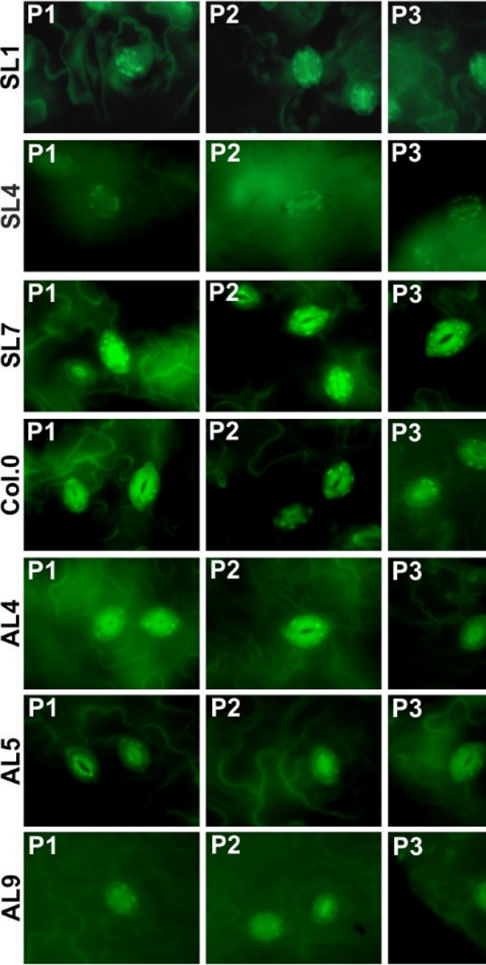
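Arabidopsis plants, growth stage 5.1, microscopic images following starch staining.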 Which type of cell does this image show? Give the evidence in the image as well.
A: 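Paired bean-shaped cells surround a central slit-like pore. These paired cells glow brighter green than the surrounding cells. Faint wavy outlines of neighbouring epidermal cells lie around them.
Answer: Guard cell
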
